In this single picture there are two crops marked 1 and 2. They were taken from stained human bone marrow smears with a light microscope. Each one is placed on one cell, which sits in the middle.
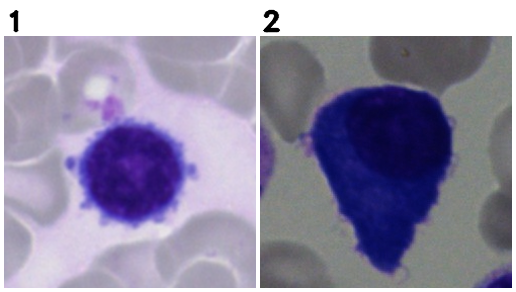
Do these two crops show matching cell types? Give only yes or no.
no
